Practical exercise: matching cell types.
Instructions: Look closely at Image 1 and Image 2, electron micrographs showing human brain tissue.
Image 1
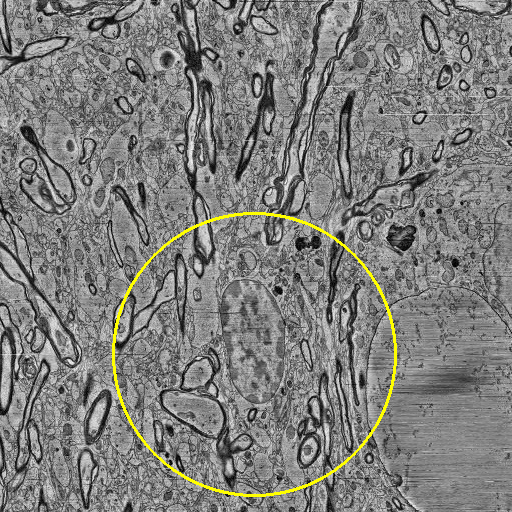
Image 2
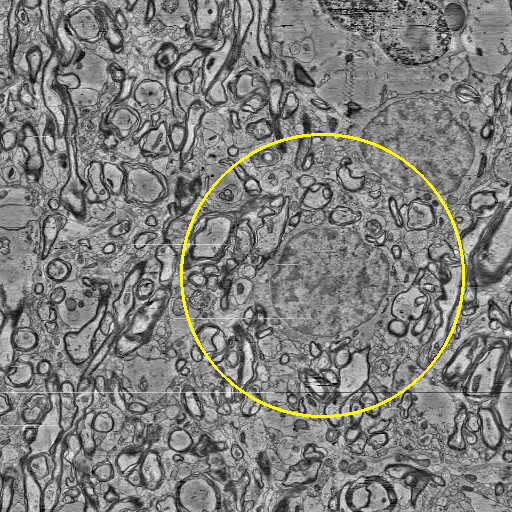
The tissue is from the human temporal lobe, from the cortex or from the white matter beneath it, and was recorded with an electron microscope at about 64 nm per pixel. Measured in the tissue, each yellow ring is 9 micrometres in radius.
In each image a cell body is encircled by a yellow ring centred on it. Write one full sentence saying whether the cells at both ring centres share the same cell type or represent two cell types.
Across Image 1 and Image 2, the cells at the ring centres represent two cell types.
